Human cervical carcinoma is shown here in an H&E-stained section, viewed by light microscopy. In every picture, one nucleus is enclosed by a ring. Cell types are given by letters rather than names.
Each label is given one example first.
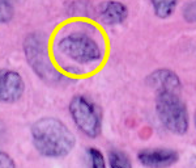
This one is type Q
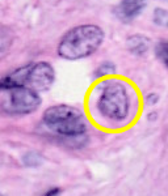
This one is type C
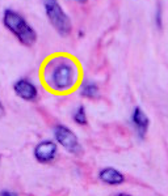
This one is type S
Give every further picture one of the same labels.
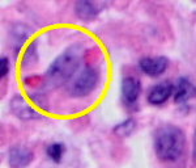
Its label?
type C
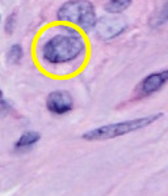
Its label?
type C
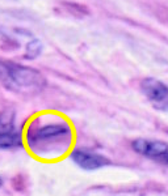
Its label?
type C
